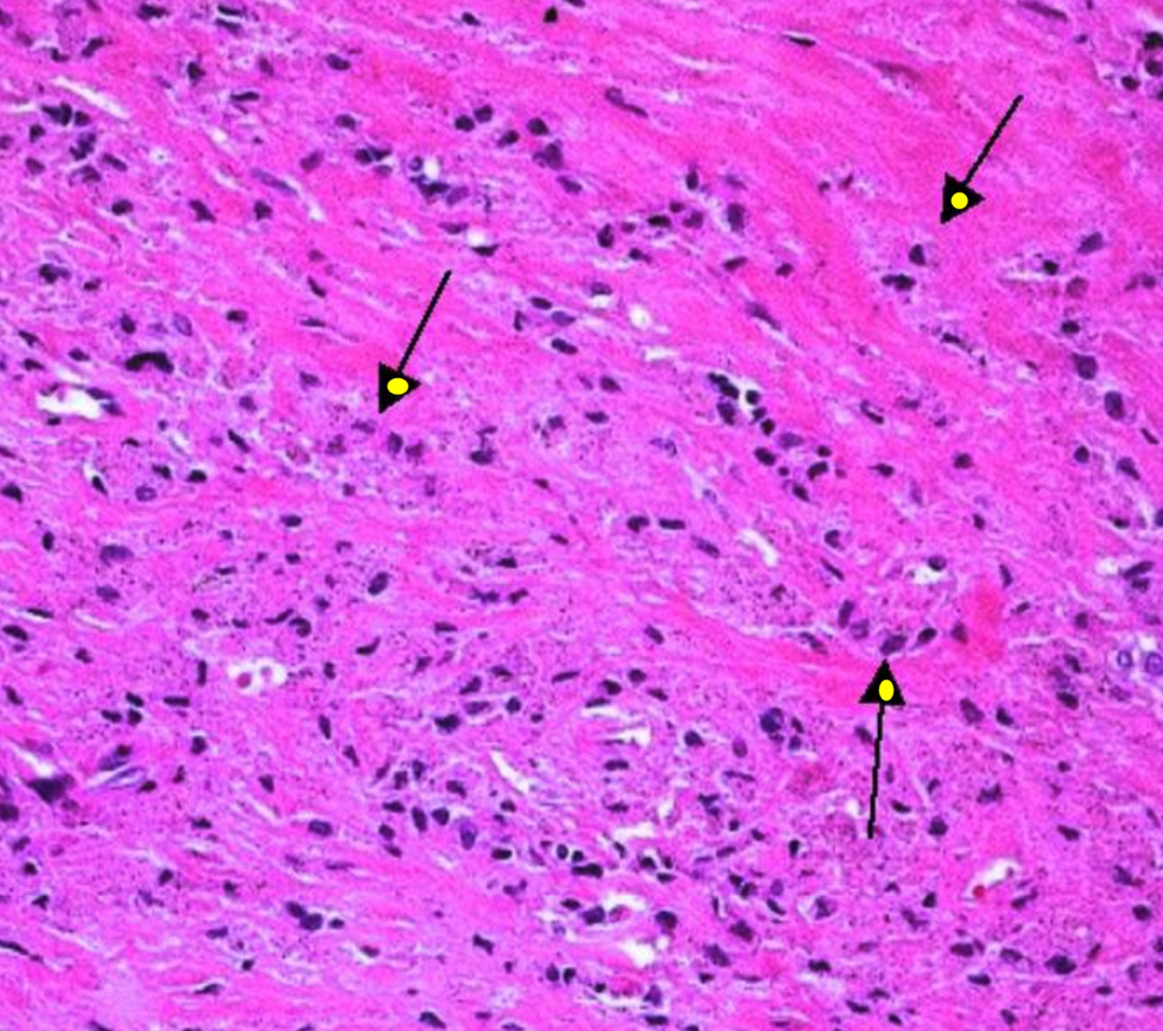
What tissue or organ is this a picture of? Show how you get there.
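Wavy pink bundles of fibrous material run across the field. Scattered elongated and oval dark nuclei lie among the bundles.
Conclusion: fibroconnective tissue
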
